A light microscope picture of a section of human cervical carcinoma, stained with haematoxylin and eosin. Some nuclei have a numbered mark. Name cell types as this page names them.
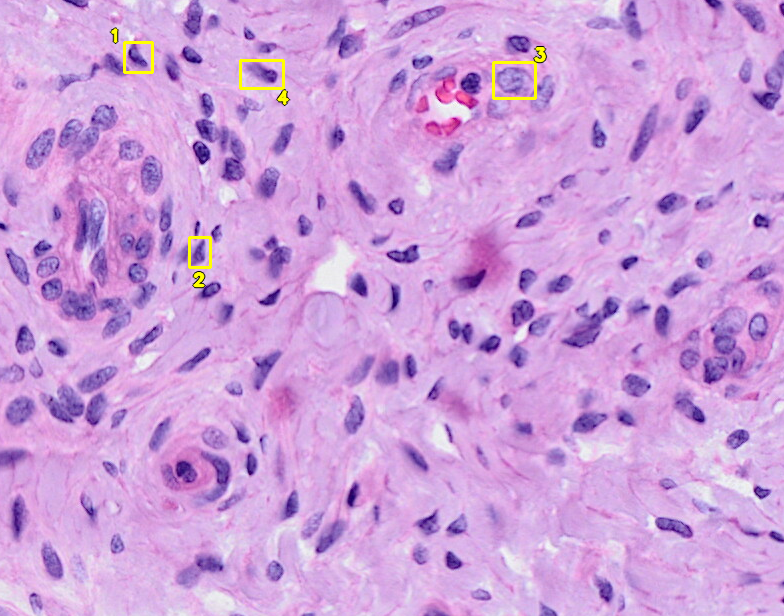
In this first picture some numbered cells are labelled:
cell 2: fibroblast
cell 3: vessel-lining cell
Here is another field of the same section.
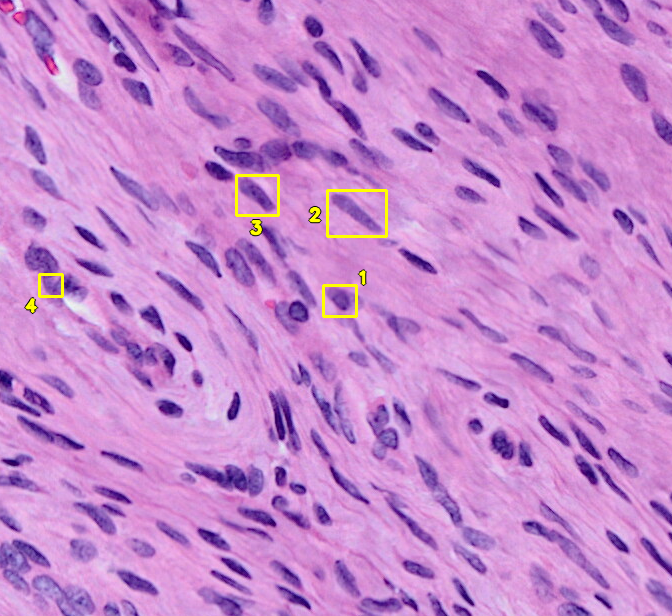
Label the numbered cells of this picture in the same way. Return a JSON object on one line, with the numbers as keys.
{"1": "fibroblast", "2": "fibroblast", "3": "fibroblast", "4": "vessel-lining cell"}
